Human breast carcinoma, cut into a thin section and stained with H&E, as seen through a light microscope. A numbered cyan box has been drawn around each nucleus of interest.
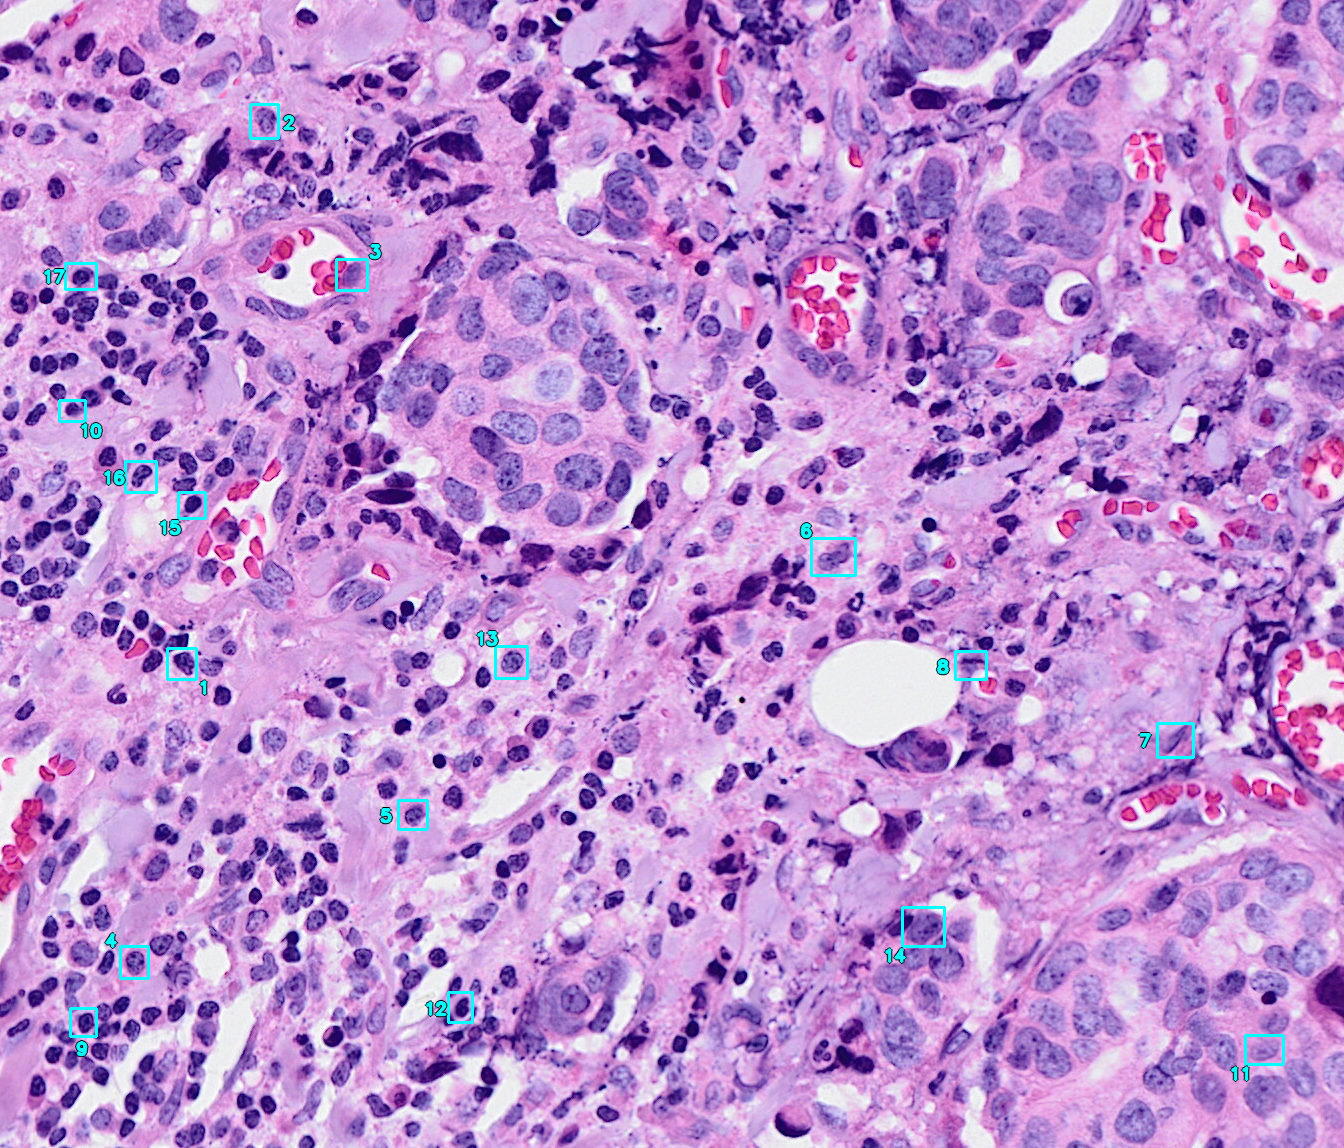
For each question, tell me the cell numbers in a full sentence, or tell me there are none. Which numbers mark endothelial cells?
On this slide, the cells numbered 3 and 8 are endothelial cells.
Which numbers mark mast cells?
The cells with the number labels 4, 5 and 13 are mast cells.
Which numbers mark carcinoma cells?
The cells tagged with numbers 11 and 14 are carcinoma cells.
